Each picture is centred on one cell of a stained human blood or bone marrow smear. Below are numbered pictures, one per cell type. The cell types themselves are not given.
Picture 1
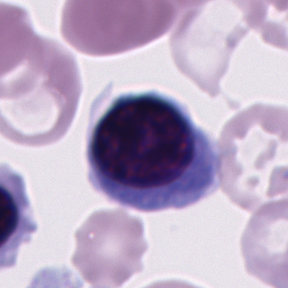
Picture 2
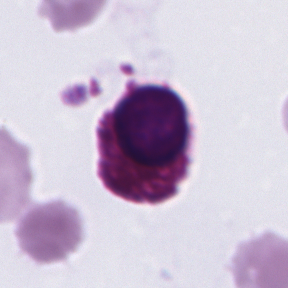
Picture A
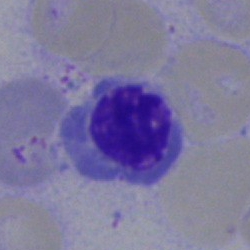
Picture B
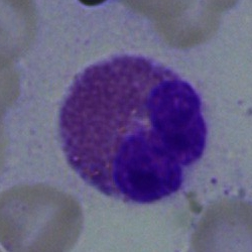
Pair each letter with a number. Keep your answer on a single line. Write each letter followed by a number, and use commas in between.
A 1, B 2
